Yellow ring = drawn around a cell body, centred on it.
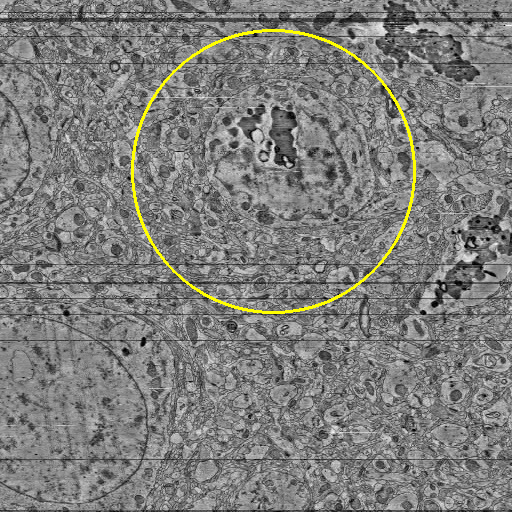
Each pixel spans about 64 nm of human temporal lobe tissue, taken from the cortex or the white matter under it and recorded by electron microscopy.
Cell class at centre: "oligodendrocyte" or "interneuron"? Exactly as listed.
interneuron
